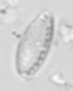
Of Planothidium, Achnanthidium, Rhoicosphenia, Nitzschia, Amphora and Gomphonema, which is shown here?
Nitzschia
